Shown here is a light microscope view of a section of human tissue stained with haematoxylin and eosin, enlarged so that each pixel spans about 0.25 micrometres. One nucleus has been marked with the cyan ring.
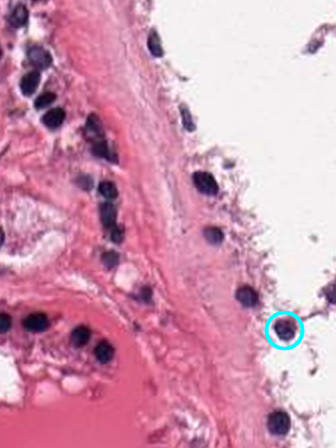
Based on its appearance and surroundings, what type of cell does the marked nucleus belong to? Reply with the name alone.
thyroid follicular cell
